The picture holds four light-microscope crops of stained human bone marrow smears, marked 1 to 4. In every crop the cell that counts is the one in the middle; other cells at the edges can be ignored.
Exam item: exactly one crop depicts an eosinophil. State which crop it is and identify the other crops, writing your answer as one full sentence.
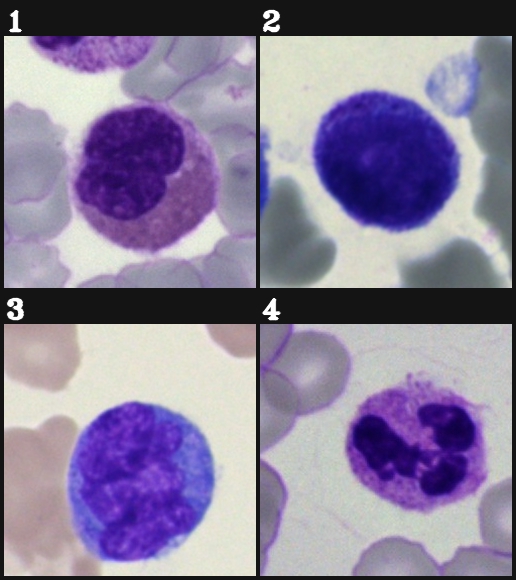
Crop 1 is classified as an eosinophil, whereas crop 2 is a promyelocyte, crop 3 is a monocyte and crop 4 is a segmented neutrophil.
